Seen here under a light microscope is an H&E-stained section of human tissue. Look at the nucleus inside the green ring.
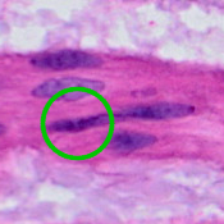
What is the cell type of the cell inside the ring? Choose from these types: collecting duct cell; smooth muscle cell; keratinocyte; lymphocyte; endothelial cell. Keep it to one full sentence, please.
It is a smooth muscle cell that the cell inside the ring represents.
